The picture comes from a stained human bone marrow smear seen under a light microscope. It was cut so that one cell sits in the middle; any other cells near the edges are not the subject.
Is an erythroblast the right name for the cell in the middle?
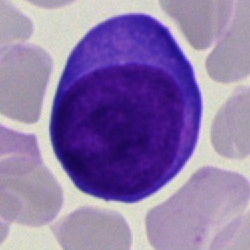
no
